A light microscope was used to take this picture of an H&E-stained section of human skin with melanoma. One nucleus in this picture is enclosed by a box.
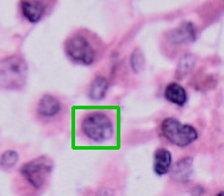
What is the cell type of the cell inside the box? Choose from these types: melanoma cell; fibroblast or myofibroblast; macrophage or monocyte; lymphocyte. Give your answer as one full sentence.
On this particular slide, the cell inside the box is a macrophage or monocyte.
